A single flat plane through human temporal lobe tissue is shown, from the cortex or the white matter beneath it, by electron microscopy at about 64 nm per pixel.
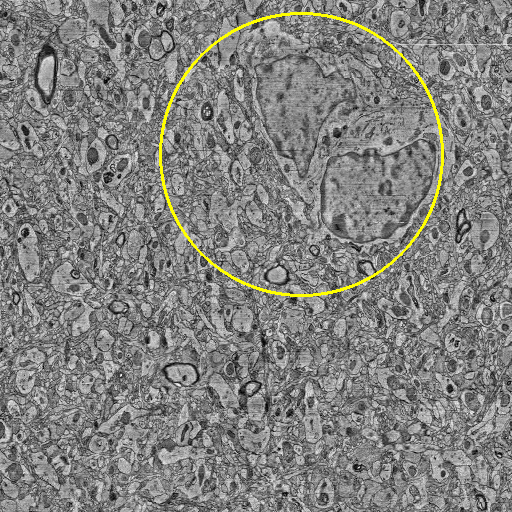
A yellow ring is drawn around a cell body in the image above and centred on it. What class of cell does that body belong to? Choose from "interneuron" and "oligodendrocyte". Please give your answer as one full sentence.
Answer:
The yellow ring above is centred on the cell body of an interneuron.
